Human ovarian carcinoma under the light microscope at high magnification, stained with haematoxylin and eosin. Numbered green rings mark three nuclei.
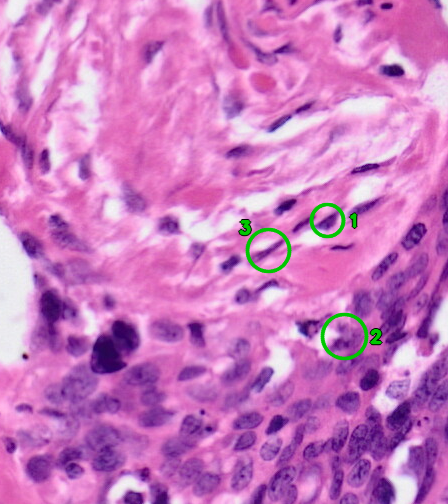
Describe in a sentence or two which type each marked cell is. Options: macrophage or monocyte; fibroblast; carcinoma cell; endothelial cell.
Cell 1 is a fibroblast, cell 2 is a carcinoma cell and cell 3 is a fibroblast.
